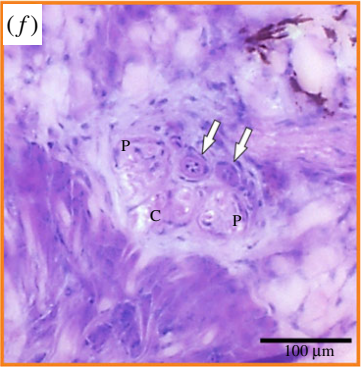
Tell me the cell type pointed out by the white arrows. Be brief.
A: Merkel cells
